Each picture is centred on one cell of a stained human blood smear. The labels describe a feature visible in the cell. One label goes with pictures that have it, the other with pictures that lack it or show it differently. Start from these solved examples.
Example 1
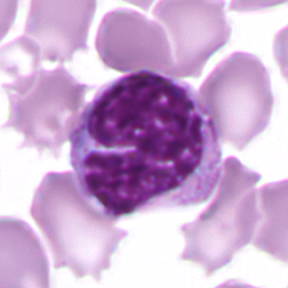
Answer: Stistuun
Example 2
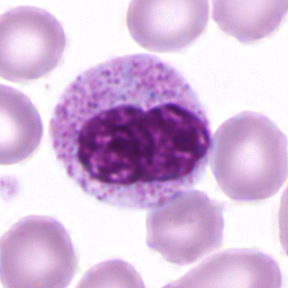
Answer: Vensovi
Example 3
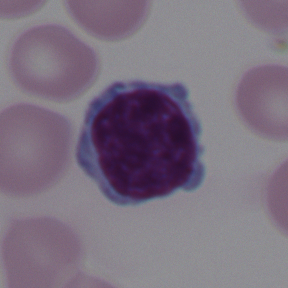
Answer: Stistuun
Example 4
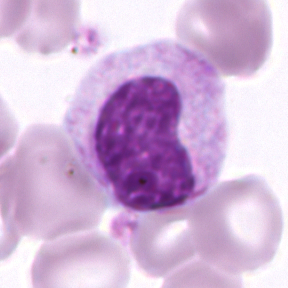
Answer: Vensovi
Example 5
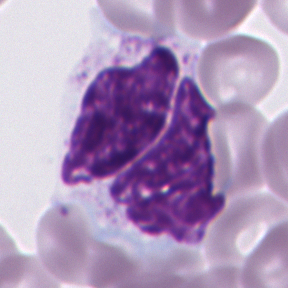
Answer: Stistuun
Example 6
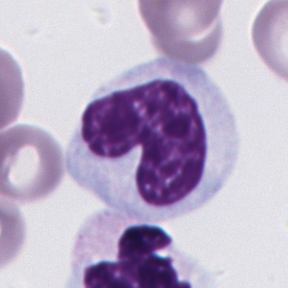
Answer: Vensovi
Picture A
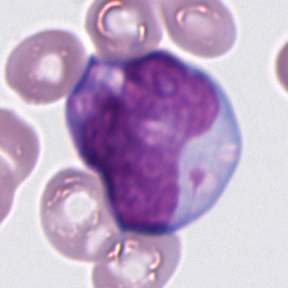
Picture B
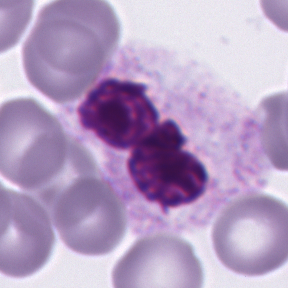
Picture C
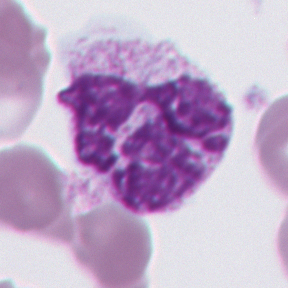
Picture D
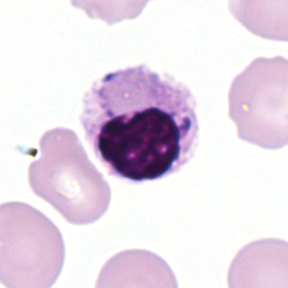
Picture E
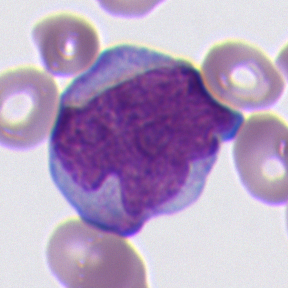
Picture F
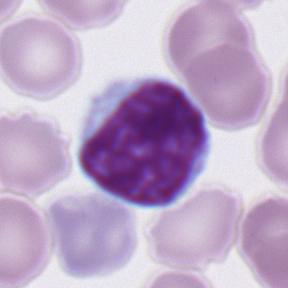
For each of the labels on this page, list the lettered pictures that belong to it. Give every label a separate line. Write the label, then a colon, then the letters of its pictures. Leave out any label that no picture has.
Stistuun: A, C, E, F
Vensovi: B, D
